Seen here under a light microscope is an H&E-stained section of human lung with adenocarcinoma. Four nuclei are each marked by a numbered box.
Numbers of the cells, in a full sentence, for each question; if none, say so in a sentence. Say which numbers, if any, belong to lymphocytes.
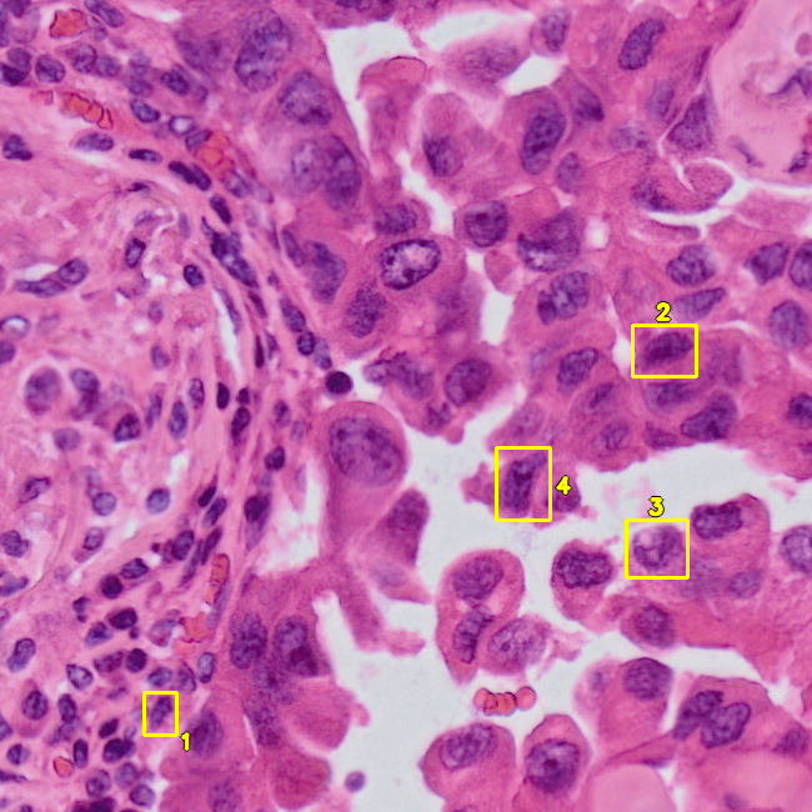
Cell 1 is a lymphocyte, while all remaining marked cells are of other types.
